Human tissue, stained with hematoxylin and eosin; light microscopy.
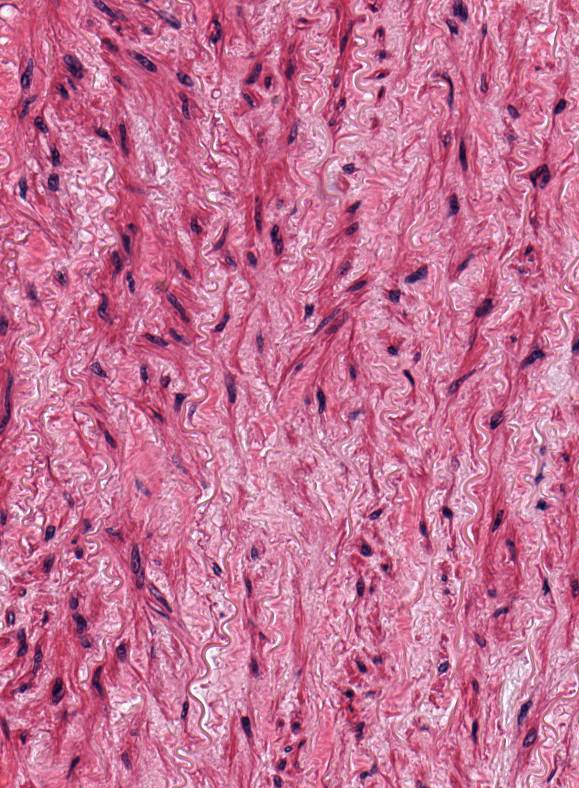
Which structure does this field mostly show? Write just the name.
tunica media of an artery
